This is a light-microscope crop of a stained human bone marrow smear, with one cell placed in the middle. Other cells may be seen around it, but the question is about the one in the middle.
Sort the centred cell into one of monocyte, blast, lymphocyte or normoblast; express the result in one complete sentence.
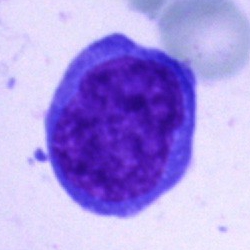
By type, the central cell of the crop is a blast.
